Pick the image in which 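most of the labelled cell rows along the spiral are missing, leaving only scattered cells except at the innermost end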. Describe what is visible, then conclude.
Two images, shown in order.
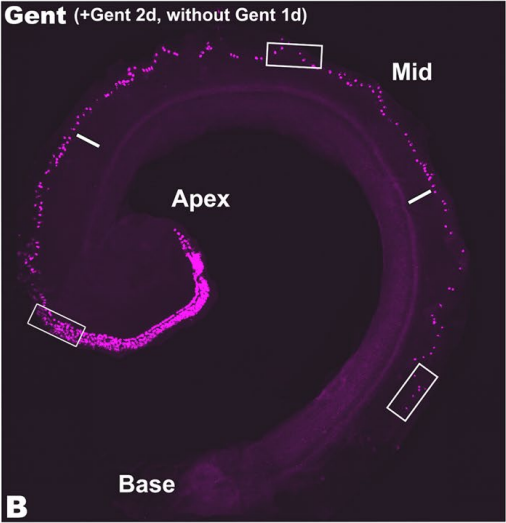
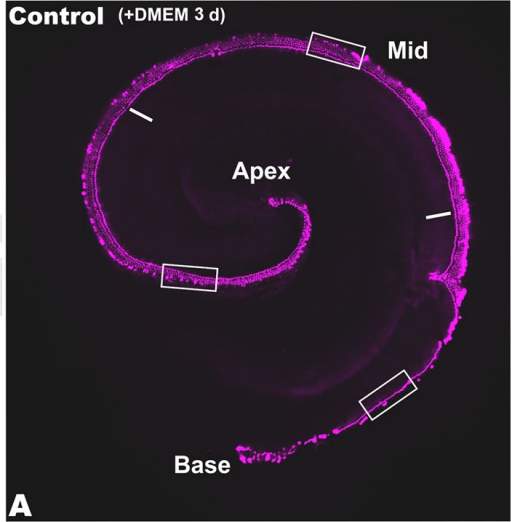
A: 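The first image. First image: only scattered magenta dots along most of the spiral, with a dense labelled patch only at the innermost end. Second image: continuous dense rows of magenta cells along most of the spiral.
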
